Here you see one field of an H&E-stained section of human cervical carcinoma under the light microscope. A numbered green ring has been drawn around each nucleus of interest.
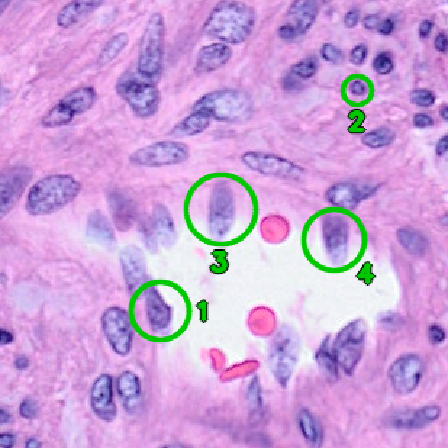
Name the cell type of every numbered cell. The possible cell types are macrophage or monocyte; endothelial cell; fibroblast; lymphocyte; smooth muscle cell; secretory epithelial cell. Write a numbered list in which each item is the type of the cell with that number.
1. endothelial cell
2. smooth muscle cell
3. endothelial cell
4. endothelial cell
